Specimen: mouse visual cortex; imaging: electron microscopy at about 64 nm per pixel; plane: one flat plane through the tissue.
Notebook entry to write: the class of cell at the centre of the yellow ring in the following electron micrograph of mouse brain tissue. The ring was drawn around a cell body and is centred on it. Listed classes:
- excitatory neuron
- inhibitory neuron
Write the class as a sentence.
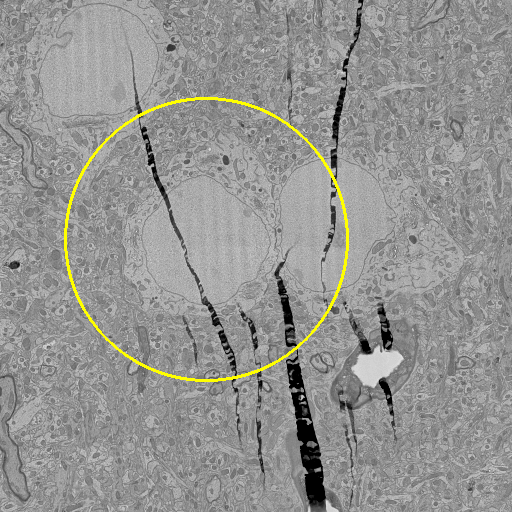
The yellow ring sits on an excitatory neuron.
